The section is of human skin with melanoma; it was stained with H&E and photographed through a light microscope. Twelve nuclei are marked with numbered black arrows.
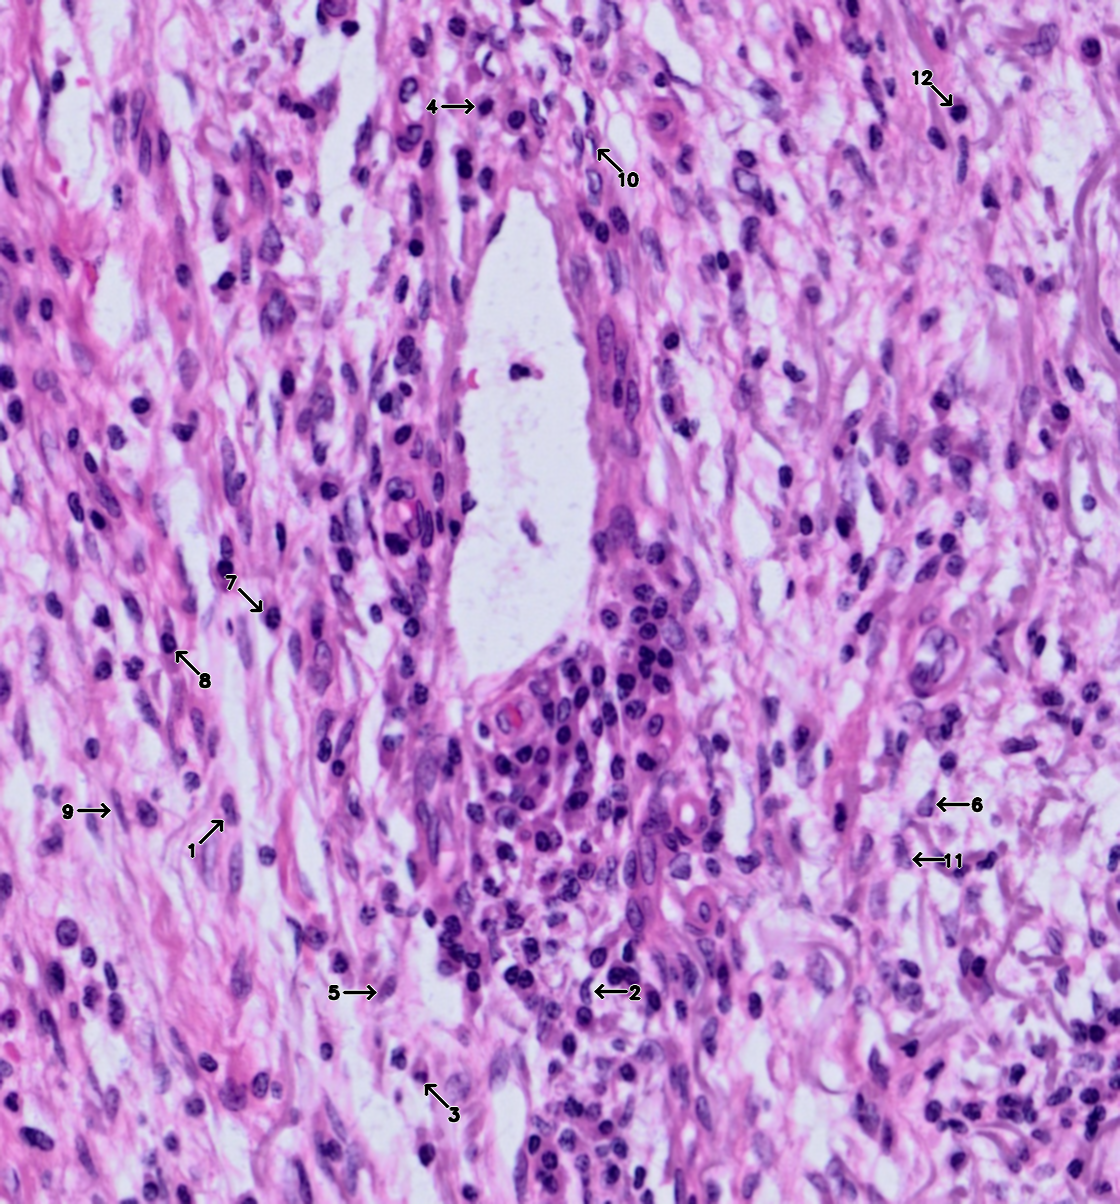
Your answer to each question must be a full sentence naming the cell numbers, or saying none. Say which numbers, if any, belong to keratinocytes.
The group of numbered cells contains no keratinocytes.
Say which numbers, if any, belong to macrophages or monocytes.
When it comes to cells 1, 5 and 11, they are macrophages or monocytes.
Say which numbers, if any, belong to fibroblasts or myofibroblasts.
As for the cells numbered 2, 6, 9 and 10, they are fibroblasts or myofibroblasts.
